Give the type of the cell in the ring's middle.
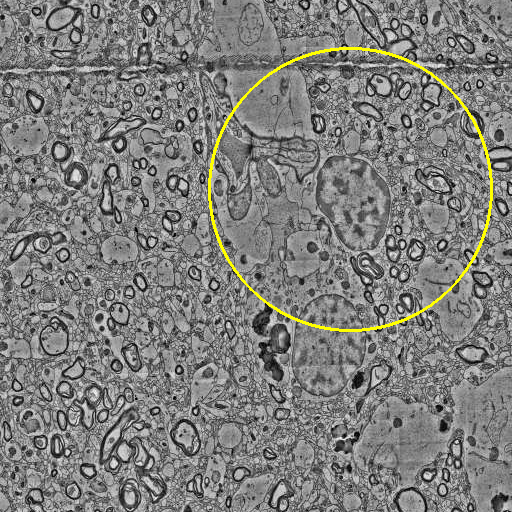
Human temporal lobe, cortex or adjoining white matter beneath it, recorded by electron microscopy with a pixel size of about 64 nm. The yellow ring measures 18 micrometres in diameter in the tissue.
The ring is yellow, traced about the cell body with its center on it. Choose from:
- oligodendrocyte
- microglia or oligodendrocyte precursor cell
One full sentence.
Here, a microglial cell or oligodendrocyte precursor cell is the cell lying at the center of the yellow ring.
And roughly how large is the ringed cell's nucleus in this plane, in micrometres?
The nucleus measures about 6 by 4 micrometres in this plane.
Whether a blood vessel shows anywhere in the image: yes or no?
Yes, a vessel shows somewhere in the image.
